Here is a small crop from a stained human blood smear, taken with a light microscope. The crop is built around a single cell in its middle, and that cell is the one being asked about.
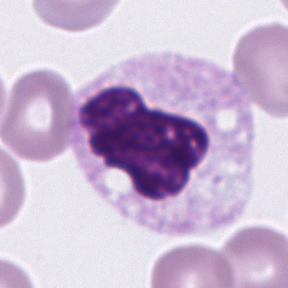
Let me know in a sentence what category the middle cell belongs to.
At the middle of the frame sits a neutrophil.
